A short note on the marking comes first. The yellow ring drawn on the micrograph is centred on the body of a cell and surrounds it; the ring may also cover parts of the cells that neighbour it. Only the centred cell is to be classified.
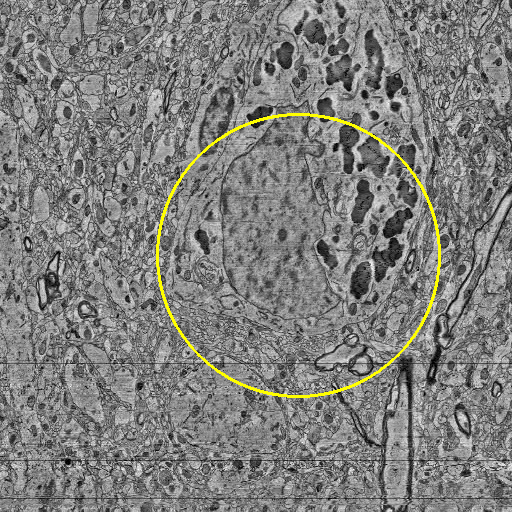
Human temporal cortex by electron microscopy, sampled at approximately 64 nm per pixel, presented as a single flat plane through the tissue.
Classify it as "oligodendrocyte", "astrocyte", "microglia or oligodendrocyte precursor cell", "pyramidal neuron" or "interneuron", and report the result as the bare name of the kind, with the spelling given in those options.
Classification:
interneuron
